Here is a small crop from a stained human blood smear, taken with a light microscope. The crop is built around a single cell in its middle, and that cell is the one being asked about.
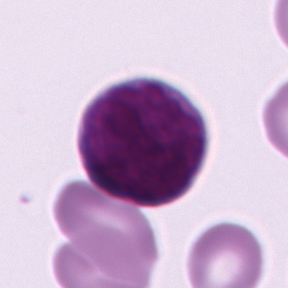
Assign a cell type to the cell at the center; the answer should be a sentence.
In the center of this field lies a myeloblast.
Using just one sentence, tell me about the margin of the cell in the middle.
Happy to help: the outline is smooth and shows no projections.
